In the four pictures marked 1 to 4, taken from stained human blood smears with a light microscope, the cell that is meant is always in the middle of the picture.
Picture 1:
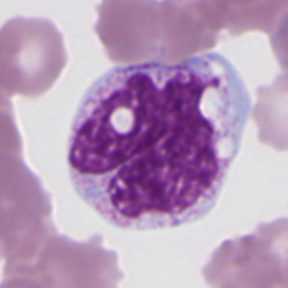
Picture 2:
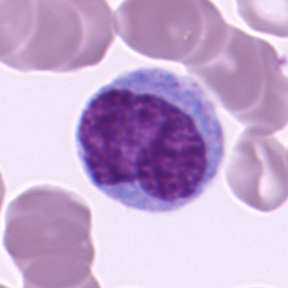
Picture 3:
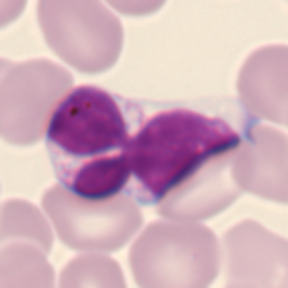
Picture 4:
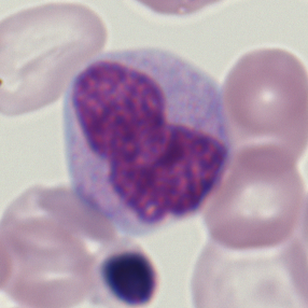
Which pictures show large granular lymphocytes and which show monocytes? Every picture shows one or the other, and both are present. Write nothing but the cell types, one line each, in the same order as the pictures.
monocyte
monocyte
large granular lymphocyte
monocyte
